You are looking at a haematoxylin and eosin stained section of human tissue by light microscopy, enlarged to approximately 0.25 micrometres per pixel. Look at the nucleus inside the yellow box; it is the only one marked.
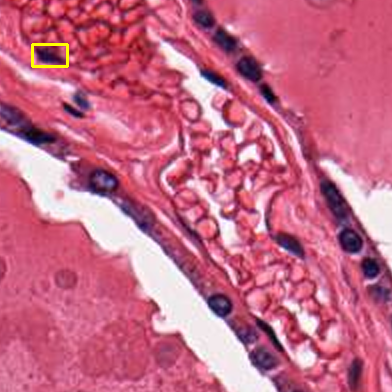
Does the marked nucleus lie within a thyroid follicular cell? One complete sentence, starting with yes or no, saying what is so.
No, the marked nucleus is contained in a supporting cell and not in a thyroid follicular cell.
